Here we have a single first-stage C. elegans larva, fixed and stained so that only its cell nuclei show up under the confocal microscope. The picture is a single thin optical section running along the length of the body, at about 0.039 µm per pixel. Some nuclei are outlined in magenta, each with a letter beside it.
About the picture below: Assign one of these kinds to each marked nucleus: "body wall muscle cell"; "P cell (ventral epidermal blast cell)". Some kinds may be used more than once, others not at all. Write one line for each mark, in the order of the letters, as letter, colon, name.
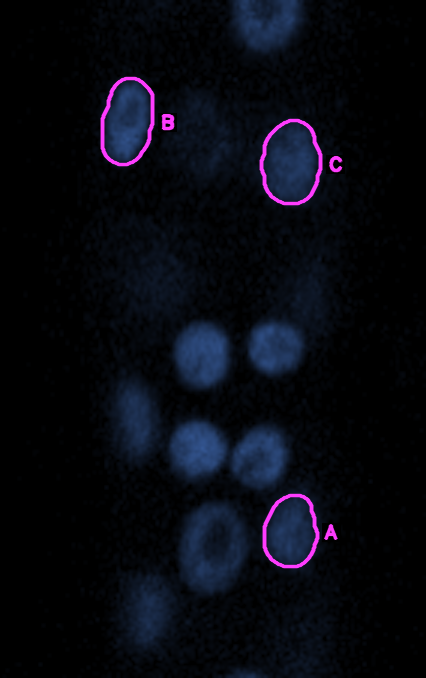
A: P cell (ventral epidermal blast cell)
B: body wall muscle cell
C: P cell (ventral epidermal blast cell)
